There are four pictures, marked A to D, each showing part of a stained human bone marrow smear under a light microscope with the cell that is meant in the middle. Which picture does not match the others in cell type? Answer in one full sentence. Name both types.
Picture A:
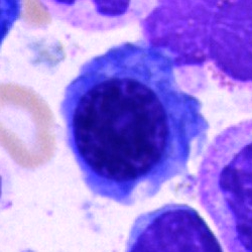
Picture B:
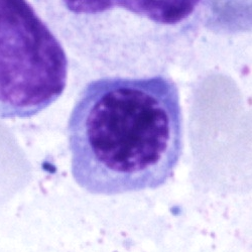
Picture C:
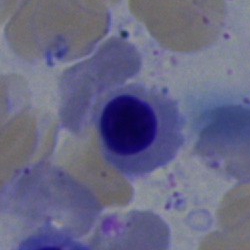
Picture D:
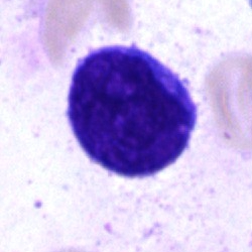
Picture D is the odd one out: it shows a blast, while the others show erythroblasts.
